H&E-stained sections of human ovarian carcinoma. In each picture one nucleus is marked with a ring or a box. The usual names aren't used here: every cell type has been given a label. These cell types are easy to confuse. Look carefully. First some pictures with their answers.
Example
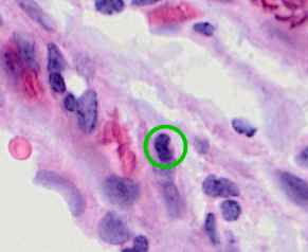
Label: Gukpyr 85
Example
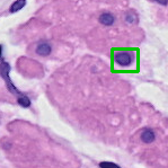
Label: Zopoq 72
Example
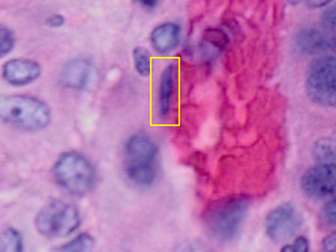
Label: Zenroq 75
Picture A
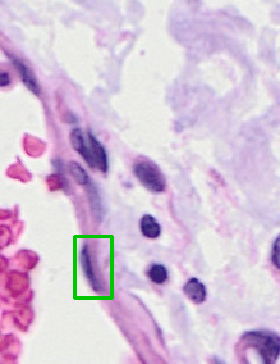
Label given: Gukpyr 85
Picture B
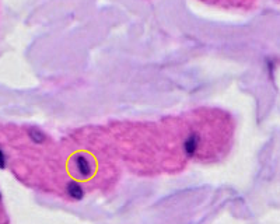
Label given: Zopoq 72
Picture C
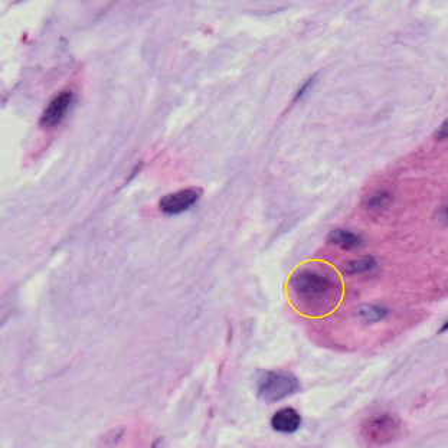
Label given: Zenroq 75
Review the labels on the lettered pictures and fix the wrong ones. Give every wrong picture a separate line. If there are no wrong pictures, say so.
A should be Zenroq 75, not Gukpyr 85
C should be Zopoq 72, not Zenroq 75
